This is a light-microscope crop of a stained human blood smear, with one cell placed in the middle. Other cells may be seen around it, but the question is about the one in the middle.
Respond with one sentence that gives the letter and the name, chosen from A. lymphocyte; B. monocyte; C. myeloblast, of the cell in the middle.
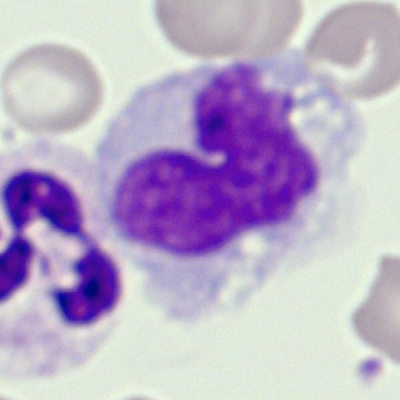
The cell in the middle is a monocyte, and so option B is correct.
